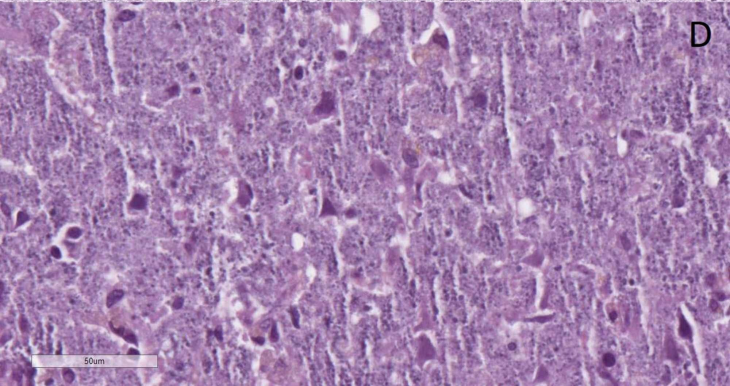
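High-power view of brain parenchyma with necrotic neurons scattered through a granular, purple neuropil. Several lie within clear, empty halos. The background is coarsely granular and speckled, consistent with cellular debris, and narrow clear clefts run roughly vertically across the field. A few small round dark nuclei of other cells lie between the neurons. Healthy neurons with pale nuclei and visible nucleoli are hardly found.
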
